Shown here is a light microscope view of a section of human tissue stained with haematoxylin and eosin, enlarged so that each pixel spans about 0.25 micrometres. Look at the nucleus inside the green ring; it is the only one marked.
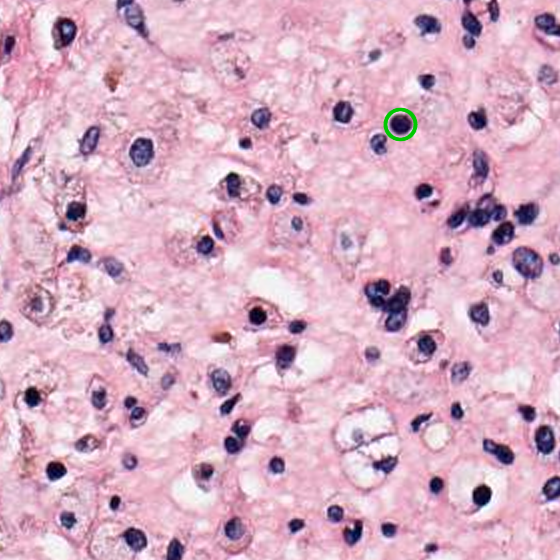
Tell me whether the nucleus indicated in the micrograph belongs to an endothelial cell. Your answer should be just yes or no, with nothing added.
no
